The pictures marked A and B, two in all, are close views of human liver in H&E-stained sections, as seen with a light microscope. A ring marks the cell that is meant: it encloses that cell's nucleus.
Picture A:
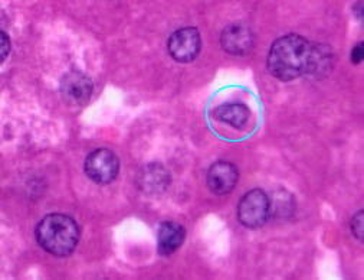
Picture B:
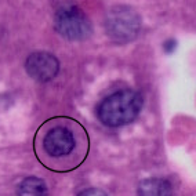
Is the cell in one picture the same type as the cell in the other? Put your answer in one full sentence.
No; the cell in picture A is a Kupffer cell, while the one in picture B is a hepatocyte.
